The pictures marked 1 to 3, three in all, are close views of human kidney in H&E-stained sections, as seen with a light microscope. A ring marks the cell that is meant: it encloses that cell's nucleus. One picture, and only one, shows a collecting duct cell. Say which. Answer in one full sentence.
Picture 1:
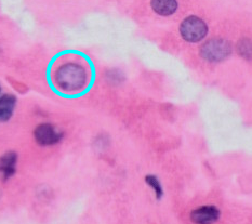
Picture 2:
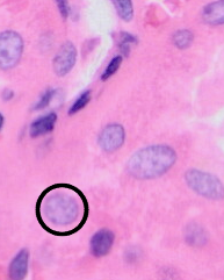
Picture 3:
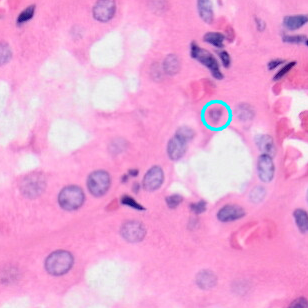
Picture 3 shows the collecting duct cell.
